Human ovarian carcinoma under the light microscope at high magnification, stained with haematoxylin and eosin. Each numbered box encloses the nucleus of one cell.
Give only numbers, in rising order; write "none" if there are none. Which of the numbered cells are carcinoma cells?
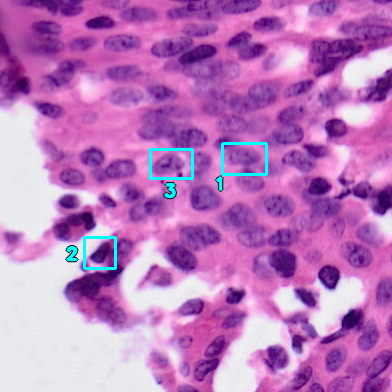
1, 2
